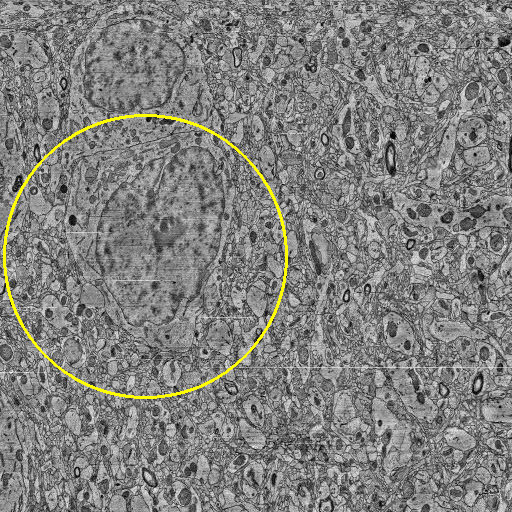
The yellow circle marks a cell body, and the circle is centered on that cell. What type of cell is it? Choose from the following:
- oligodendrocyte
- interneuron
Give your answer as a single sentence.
This cell body belongs to an interneuron.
